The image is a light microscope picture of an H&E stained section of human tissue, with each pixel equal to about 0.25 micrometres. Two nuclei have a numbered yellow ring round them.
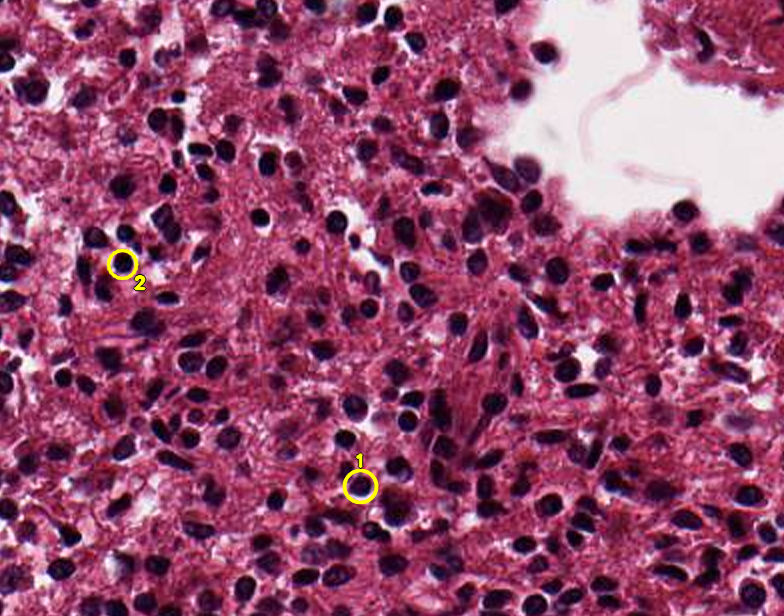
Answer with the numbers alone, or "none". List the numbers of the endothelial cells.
none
